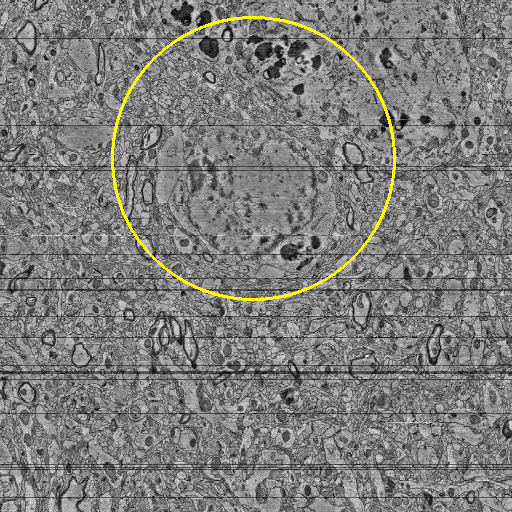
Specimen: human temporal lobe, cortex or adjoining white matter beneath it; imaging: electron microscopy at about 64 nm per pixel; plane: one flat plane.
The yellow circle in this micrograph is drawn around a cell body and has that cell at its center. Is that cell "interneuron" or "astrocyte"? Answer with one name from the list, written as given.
interneuron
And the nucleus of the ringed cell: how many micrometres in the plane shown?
In this plane the nucleus is about 9 micrometres across.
